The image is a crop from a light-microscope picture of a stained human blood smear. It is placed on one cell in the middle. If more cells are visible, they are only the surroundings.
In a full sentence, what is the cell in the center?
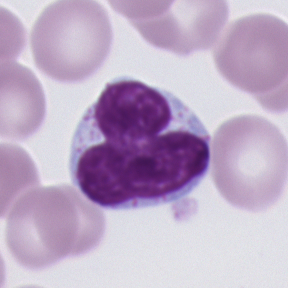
Looking at the middle of the crop, the cell there is a large granular lymphocyte.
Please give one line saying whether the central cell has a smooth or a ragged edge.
A smooth, projection-free outline is what this cell has.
